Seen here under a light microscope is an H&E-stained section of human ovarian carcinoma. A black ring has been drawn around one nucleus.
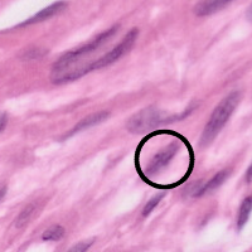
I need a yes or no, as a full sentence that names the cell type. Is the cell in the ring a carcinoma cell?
No, the cell in the ring is a fibroblast in this section, not a carcinoma cell.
